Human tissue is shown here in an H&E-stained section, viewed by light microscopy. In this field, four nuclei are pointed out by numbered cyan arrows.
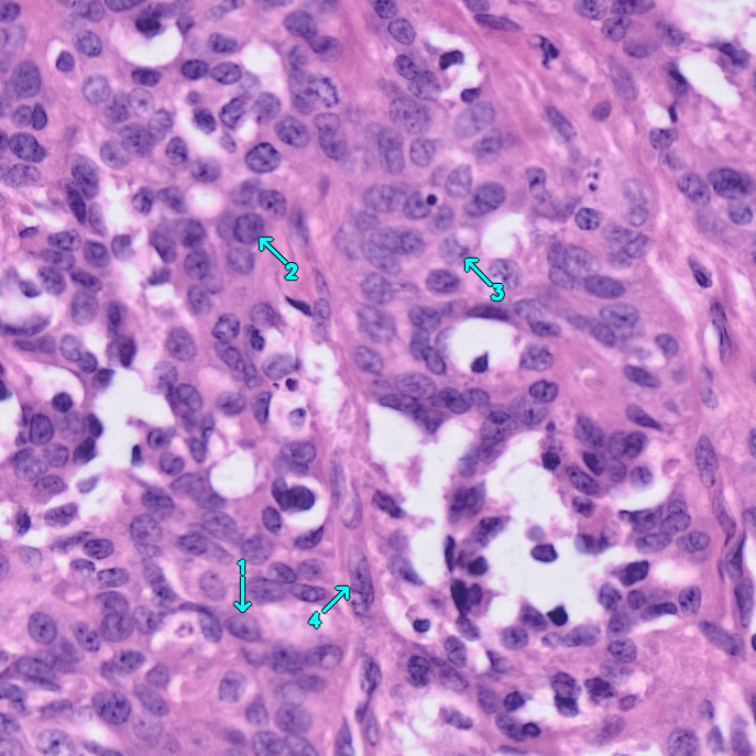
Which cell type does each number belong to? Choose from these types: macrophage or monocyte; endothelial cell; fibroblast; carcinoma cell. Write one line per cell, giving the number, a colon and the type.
1: carcinoma cell
2: carcinoma cell
3: carcinoma cell
4: endothelial cell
